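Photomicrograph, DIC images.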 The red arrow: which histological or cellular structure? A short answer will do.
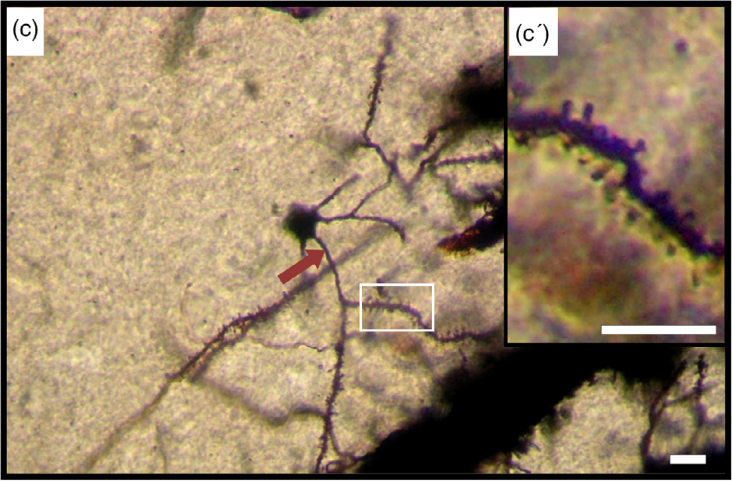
Long, smooth primary dendrites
